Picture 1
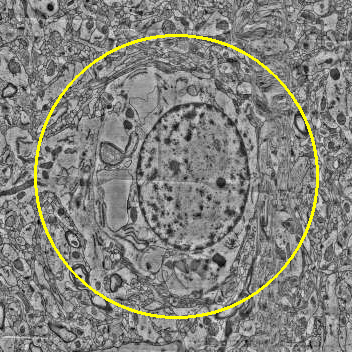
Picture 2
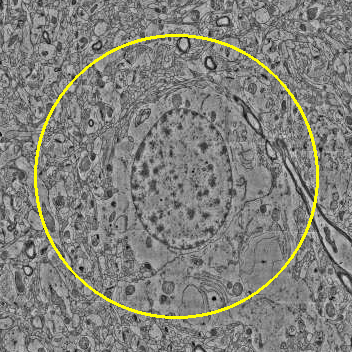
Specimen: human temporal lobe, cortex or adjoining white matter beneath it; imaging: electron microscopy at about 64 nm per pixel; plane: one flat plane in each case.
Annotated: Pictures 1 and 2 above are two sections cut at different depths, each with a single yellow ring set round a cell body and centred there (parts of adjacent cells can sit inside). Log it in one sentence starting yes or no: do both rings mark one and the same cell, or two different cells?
No, the cell in one ring is not the cell in the other.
